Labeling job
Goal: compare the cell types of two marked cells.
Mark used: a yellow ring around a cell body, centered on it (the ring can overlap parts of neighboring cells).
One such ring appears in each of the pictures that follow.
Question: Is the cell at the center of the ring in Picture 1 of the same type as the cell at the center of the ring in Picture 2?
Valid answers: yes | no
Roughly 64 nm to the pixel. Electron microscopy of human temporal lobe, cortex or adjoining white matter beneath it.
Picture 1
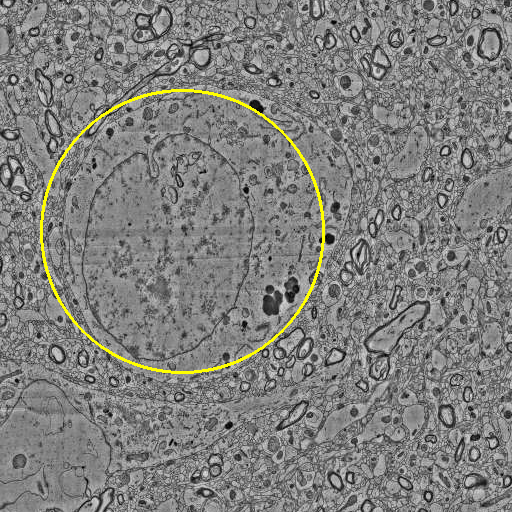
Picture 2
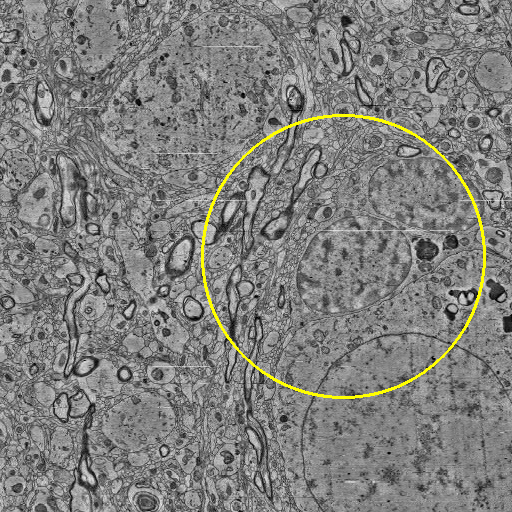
no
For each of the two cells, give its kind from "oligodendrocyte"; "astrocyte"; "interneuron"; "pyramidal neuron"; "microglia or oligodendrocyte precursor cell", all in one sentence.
The first picture has a pyramidal neuron in its ring, the second has an oligodendrocyte.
